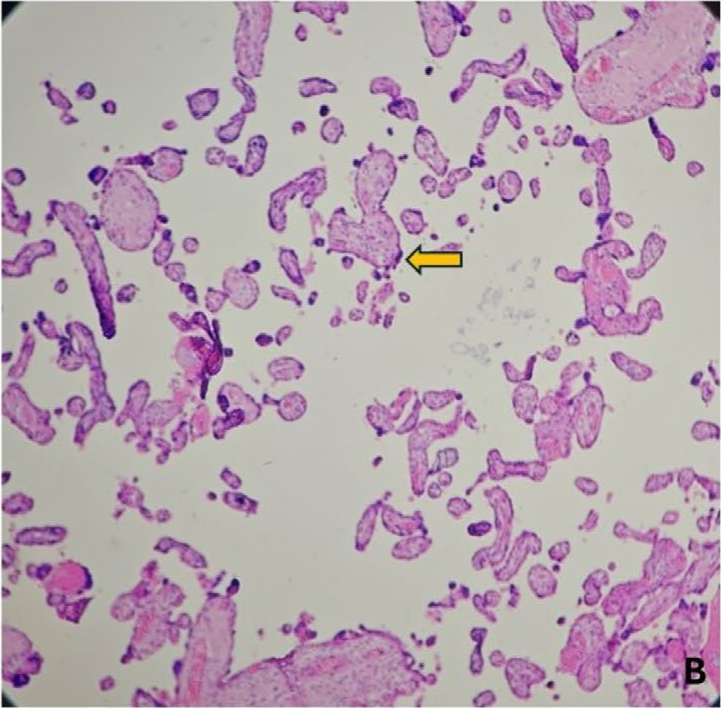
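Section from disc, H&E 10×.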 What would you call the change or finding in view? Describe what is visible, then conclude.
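The villi are small, slender and widely spaced with much empty intervillous space. Many villous profiles are thin, elongated or angulated.
Conclusion: distal villous hypoplasia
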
